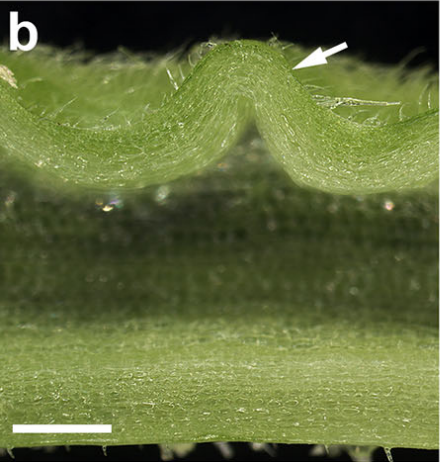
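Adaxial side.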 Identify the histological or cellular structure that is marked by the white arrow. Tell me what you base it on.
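Maxima of the wave-like pattern. The upper edge of the cut tissue forms a wave with a raised crest.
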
